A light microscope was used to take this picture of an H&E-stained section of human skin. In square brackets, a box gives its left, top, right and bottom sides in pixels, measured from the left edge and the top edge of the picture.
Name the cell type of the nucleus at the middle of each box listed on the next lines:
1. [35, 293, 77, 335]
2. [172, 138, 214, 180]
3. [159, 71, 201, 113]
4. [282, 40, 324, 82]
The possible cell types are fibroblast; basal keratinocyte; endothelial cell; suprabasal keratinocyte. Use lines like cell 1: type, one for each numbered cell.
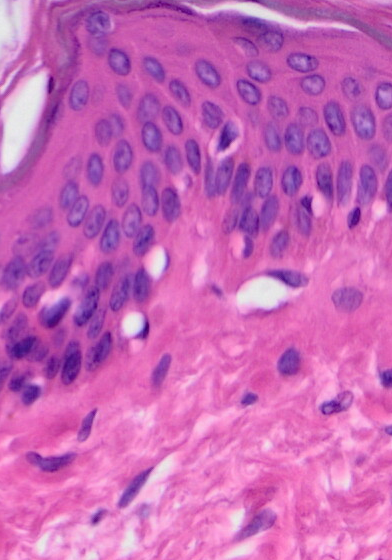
cell 1: basal keratinocyte
cell 2: basal keratinocyte
cell 3: suprabasal keratinocyte
cell 4: suprabasal keratinocyte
